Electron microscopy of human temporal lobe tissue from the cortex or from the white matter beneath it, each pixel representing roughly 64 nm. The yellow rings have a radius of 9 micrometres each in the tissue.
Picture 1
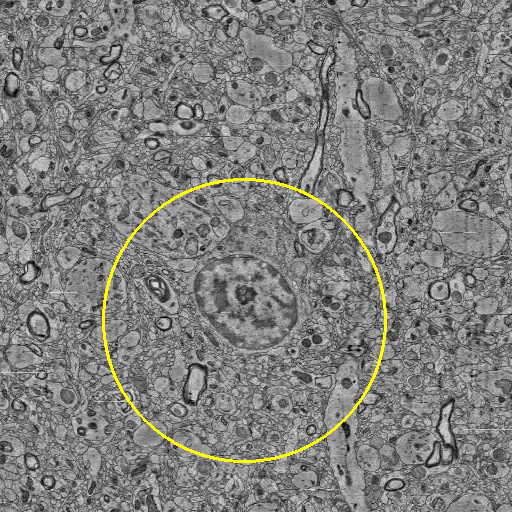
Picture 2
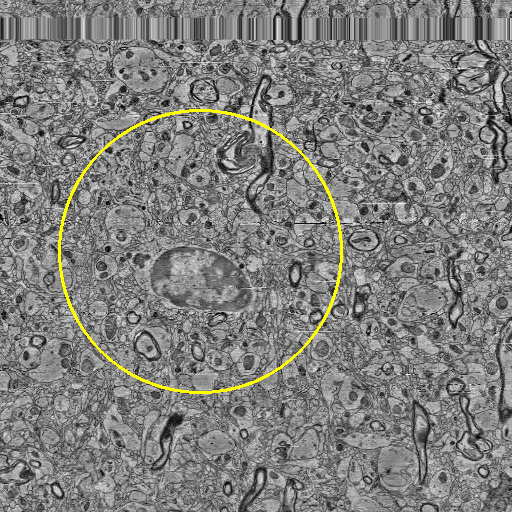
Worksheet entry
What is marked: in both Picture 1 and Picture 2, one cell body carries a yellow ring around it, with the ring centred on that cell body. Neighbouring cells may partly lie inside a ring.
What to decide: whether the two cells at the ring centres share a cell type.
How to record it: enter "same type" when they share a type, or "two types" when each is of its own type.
two types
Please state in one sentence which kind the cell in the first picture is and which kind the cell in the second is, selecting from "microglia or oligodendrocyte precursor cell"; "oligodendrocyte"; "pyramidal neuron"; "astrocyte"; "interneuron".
The first ringed cell is an oligodendrocyte, the second ringed cell a microglial cell or oligodendrocyte precursor cell.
